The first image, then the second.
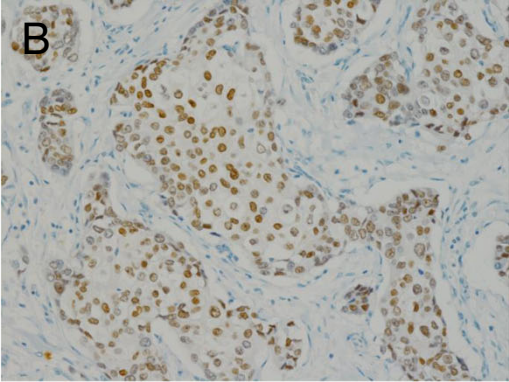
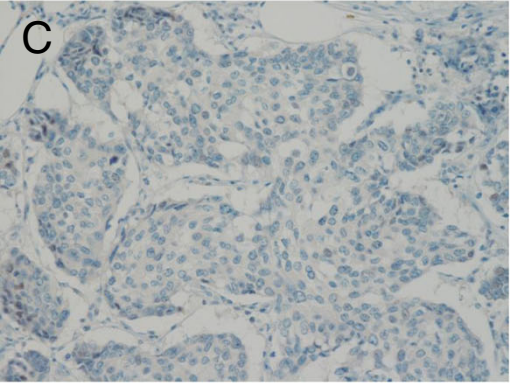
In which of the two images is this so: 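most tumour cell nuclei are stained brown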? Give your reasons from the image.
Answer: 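The first image. First image: the great majority of nuclei in the tumour nests are brown, while stromal nuclei stay blue.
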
